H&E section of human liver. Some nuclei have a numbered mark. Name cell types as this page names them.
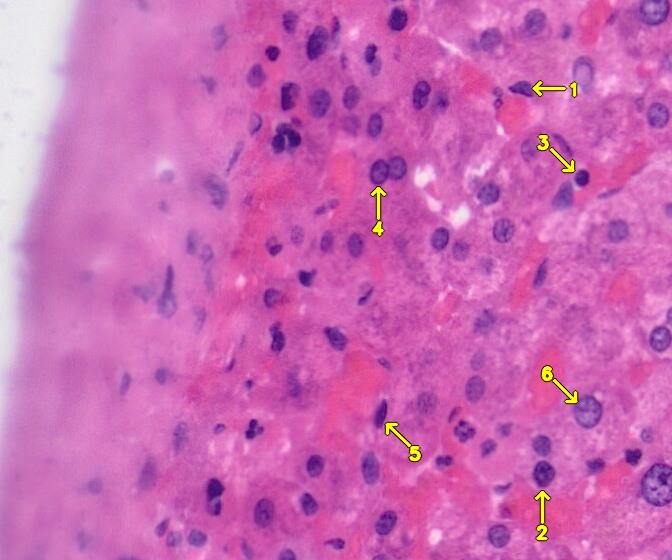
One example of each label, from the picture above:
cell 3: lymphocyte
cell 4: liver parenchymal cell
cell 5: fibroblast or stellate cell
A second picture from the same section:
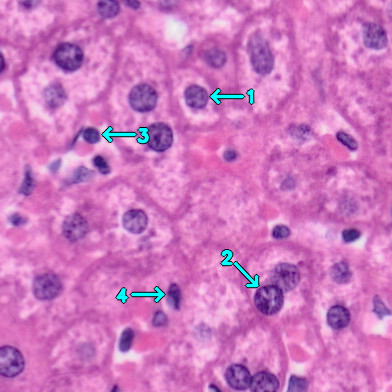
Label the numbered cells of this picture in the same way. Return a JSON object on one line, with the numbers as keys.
{"1": "liver parenchymal cell", "2": "liver parenchymal cell", "3": "lymphocyte", "4": "fibroblast or stellate cell"}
